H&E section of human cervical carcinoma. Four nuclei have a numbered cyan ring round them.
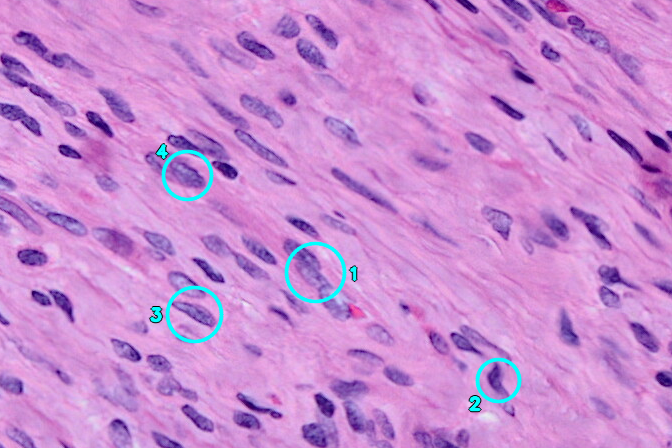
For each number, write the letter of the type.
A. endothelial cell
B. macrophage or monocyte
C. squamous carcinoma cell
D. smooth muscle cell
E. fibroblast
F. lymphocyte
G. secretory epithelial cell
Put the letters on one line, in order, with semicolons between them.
A; E; D; A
